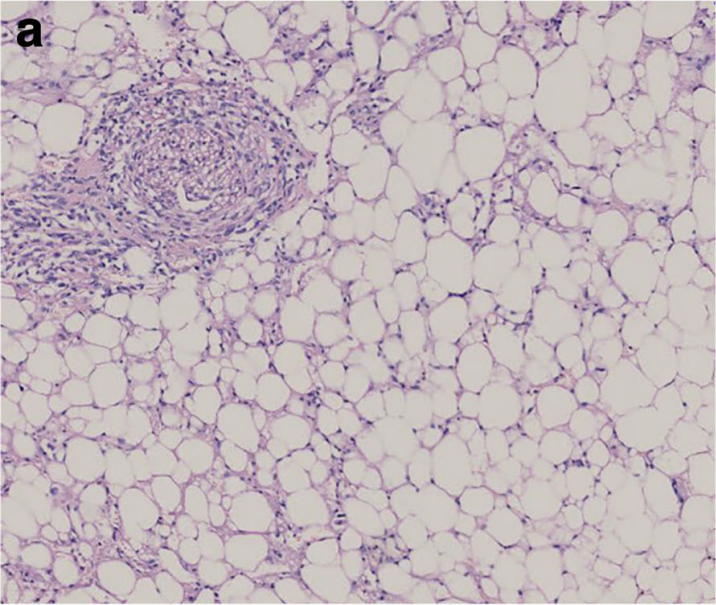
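This is fatty tissue, in which most of the field is taken up by fat cells seen as large, clear, rounded spaces of varying size. At the upper left lies a blood vessel with a small lumen wrapped in a thick, concentric wall of spindle-shaped cells with elongated purple nuclei.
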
